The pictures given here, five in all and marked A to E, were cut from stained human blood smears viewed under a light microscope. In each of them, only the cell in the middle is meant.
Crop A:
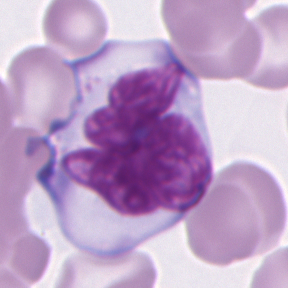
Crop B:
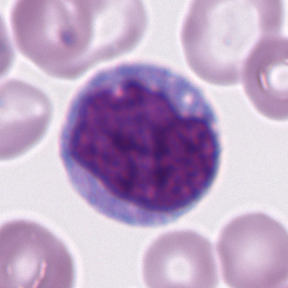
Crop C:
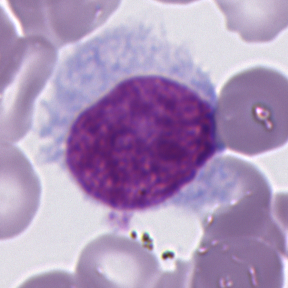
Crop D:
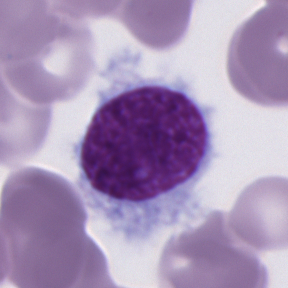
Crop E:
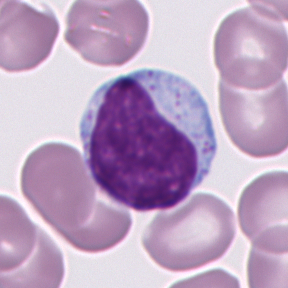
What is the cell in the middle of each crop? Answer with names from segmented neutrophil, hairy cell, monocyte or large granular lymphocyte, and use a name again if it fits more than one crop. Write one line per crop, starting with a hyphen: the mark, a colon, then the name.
- A: large granular lymphocyte
- B: monocyte
- C: hairy cell
- D: hairy cell
- E: large granular lymphocyte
